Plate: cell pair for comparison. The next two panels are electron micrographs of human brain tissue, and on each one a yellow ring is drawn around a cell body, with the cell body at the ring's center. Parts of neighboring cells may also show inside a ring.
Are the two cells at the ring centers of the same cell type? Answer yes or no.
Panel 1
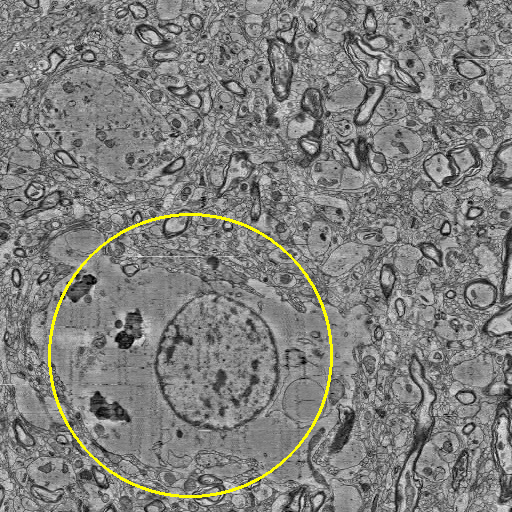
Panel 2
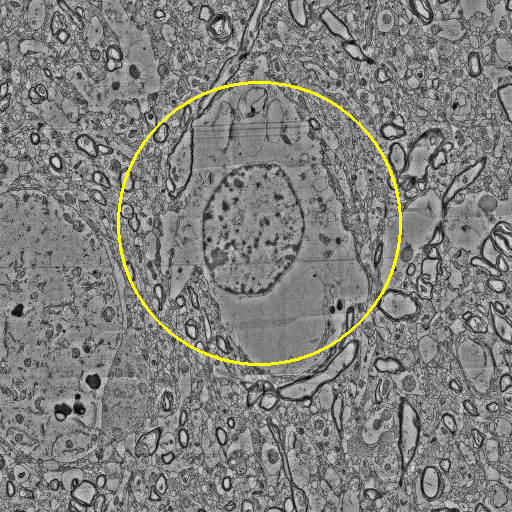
yes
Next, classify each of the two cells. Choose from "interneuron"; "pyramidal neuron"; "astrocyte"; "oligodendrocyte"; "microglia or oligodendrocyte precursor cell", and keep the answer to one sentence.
The cell in the first picture is an astrocyte, and so is the one in the second.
